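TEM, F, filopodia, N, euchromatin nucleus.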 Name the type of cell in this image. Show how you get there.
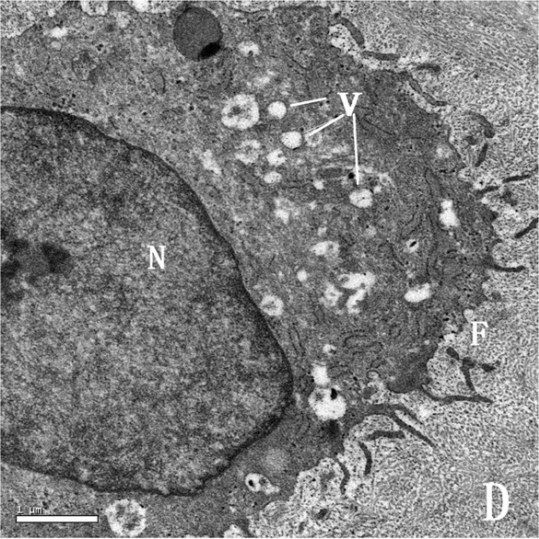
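A cell with a large nucleus is surrounded by fine fibrillar extracellular matrix. Short processes project from the cell surface into the matrix. So: Chondrocytes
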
